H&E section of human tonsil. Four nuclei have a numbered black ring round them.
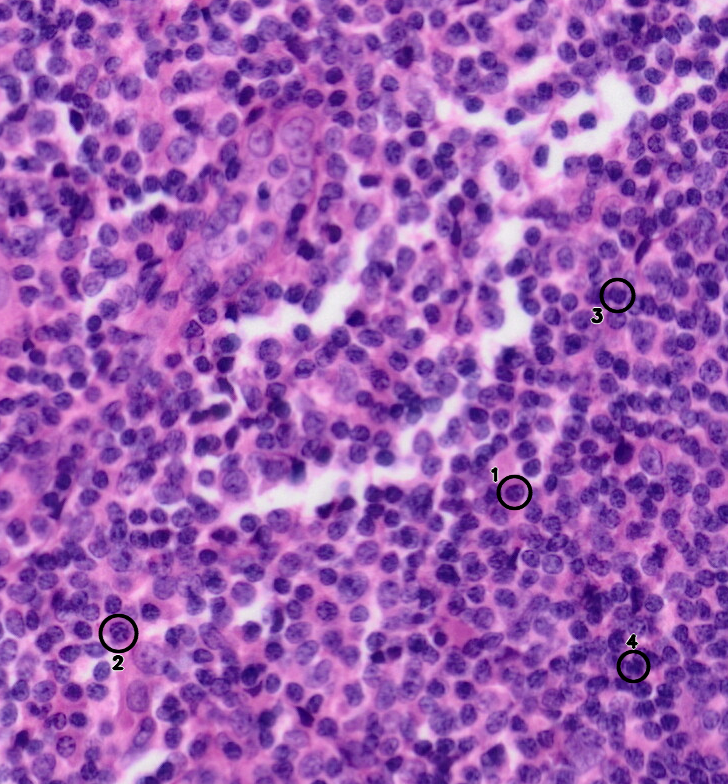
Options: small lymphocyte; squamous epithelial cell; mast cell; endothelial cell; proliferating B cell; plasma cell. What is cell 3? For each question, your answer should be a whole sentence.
Cell 3 in the field is a small lymphocyte.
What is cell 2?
Cell 2 in the field of view is a plasma cell.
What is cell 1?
Cell 1 of the marked set is a plasma cell.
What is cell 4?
As for number 4, that cell is a small lymphocyte.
